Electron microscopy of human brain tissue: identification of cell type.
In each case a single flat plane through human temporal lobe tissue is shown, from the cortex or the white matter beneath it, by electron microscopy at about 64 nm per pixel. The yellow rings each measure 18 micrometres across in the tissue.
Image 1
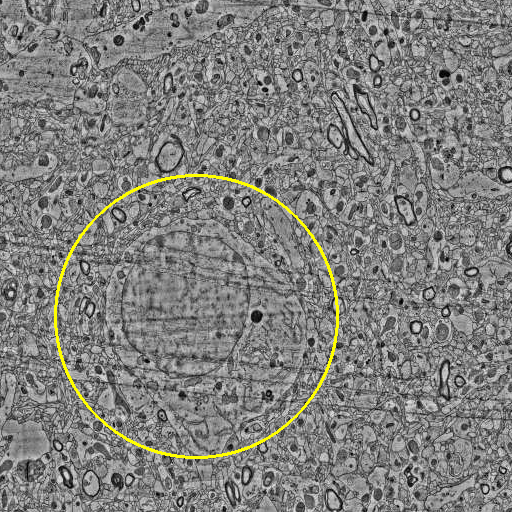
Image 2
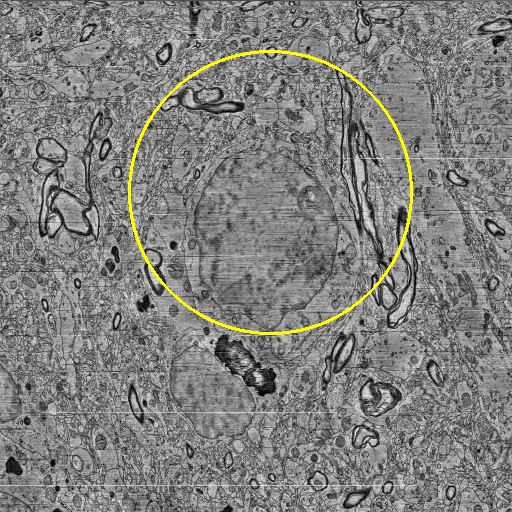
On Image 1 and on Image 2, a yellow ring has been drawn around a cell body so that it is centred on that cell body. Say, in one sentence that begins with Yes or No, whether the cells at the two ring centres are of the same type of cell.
Yes, both cells are the same type of cell.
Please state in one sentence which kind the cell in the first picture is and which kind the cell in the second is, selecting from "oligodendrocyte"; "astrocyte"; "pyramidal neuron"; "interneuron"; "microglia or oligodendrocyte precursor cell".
The cell at the ring centre is an interneuron in both pictures.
